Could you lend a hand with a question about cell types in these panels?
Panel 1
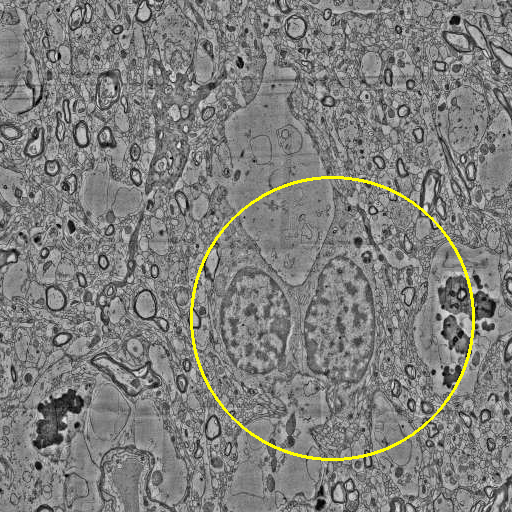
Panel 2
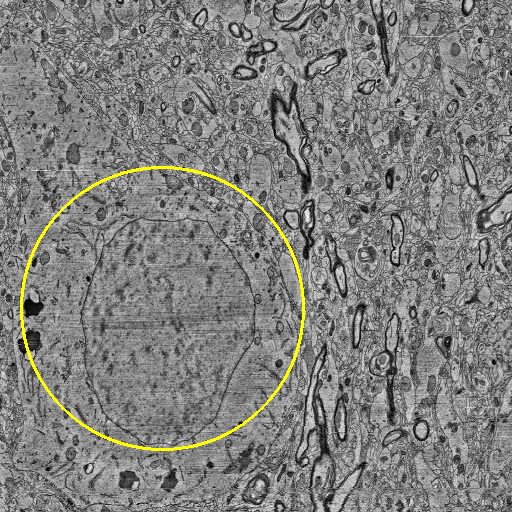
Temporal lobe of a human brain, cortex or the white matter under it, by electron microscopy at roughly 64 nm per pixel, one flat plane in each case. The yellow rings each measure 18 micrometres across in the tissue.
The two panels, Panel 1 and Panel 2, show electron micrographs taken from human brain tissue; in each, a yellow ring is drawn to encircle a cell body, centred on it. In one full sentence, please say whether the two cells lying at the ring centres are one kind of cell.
No, the cells at the ring centres in the two panels are two kinds of cell.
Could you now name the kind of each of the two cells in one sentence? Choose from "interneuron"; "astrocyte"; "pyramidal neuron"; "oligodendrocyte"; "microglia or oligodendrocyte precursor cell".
The first ring encloses an oligodendrocyte; the second ring encloses a pyramidal neuron.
